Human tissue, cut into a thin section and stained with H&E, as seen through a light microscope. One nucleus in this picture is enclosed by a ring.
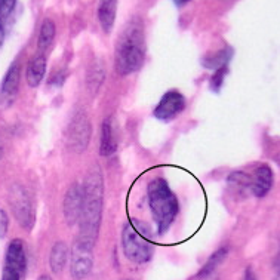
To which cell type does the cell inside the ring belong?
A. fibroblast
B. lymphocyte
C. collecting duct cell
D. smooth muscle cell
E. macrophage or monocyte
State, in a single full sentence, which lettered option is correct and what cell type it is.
The correct choice is option E; the cell inside the ring is a macrophage or monocyte.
